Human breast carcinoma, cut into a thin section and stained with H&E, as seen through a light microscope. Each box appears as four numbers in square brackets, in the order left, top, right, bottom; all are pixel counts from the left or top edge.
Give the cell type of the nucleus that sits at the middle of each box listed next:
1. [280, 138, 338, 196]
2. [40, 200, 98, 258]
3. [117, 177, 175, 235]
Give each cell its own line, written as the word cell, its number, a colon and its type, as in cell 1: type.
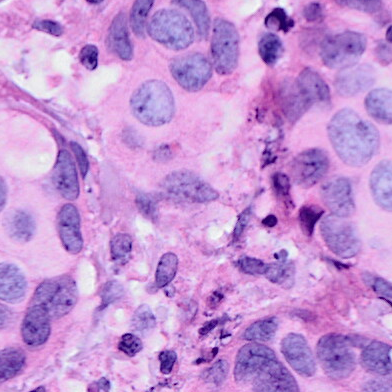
cell 1: carcinoma cell
cell 2: carcinoma cell
cell 3: fibroblast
